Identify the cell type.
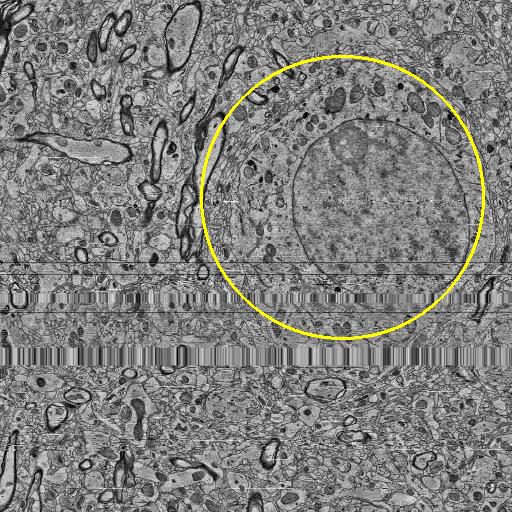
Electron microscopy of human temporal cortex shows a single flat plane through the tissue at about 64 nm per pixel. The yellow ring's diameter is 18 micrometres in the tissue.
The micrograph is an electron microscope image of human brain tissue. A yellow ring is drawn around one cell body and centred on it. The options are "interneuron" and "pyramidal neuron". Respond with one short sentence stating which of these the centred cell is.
The cell body in the ring belongs to an interneuron.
